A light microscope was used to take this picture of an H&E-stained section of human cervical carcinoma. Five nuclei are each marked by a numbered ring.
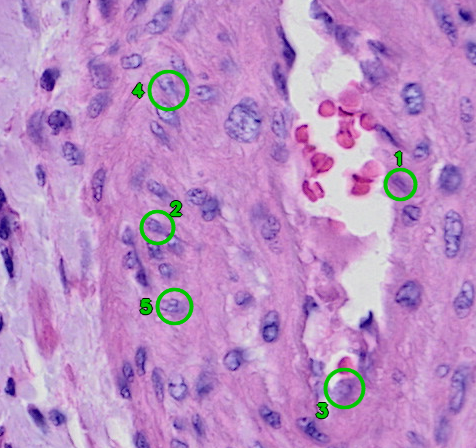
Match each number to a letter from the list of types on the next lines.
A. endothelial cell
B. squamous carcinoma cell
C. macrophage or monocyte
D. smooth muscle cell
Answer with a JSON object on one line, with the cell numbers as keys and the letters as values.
{"1": "A", "2": "D", "3": "A", "4": "D", "5": "D"}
